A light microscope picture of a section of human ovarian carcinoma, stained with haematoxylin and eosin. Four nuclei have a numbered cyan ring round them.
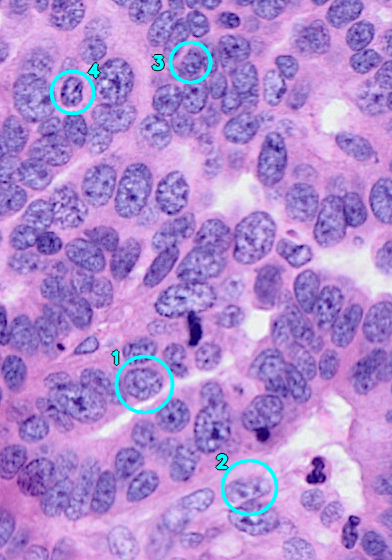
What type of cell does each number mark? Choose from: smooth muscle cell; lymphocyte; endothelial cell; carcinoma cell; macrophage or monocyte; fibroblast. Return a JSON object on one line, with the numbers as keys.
{"1": "carcinoma cell", "2": "fibroblast", "3": "carcinoma cell", "4": "macrophage or monocyte"}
